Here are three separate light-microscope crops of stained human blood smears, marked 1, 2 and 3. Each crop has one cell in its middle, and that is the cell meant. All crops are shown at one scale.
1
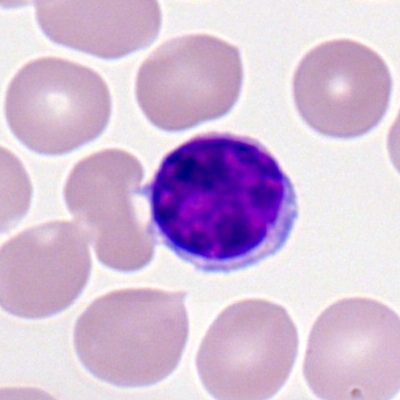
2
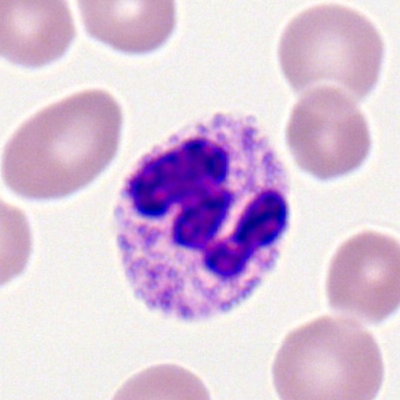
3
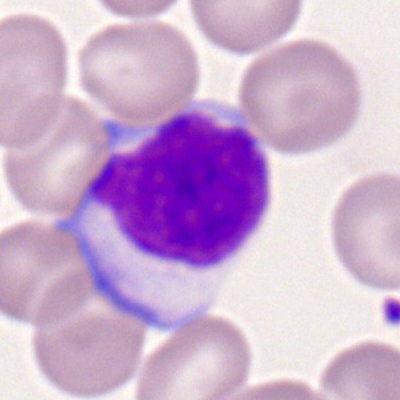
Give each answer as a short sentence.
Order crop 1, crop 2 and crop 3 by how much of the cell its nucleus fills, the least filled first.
They run 2, 3, 1, the least filled first.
